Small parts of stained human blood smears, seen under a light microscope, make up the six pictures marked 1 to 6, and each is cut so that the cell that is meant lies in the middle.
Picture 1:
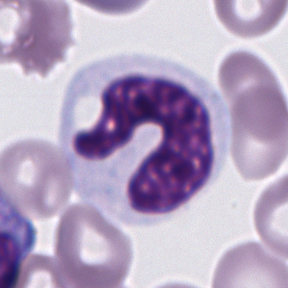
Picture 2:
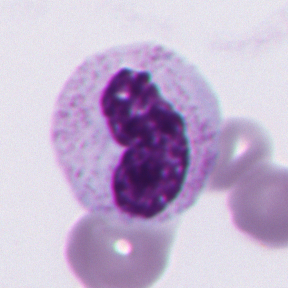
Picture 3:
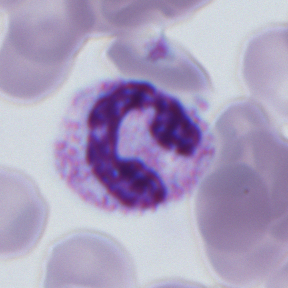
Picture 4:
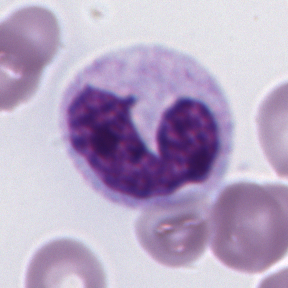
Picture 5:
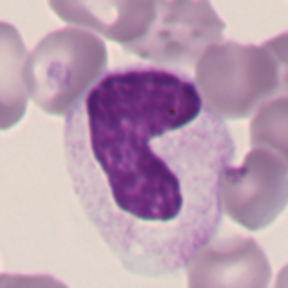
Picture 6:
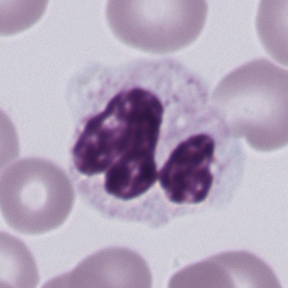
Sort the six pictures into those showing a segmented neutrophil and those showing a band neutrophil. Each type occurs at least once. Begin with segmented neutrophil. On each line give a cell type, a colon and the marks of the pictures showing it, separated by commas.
segmented neutrophil: 3, 6
band neutrophil: 1, 2, 4, 5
